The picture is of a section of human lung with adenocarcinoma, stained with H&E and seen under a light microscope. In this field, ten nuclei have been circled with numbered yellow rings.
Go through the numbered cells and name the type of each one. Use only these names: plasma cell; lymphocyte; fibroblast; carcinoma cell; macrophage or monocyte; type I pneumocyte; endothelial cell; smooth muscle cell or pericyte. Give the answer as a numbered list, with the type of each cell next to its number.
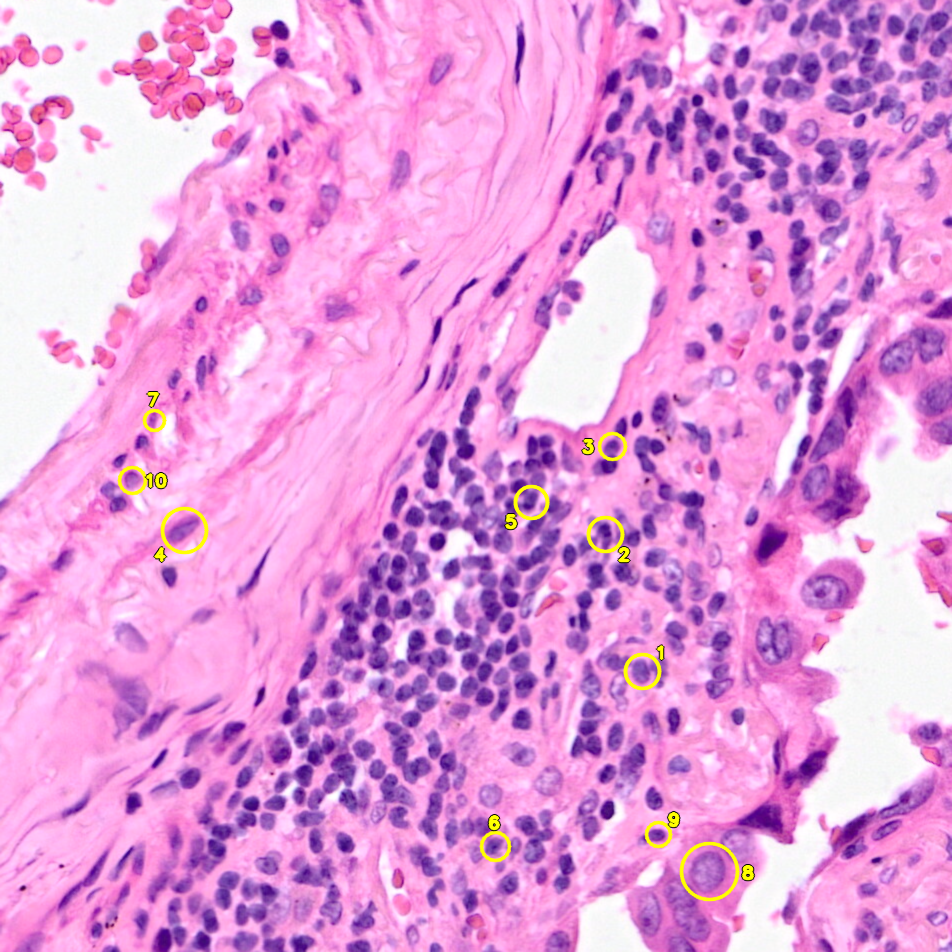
1. lymphocyte
2. lymphocyte
3. lymphocyte
4. smooth muscle cell or pericyte
5. lymphocyte
6. lymphocyte
7. smooth muscle cell or pericyte
8. carcinoma cell
9. lymphocyte
10. smooth muscle cell or pericyte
